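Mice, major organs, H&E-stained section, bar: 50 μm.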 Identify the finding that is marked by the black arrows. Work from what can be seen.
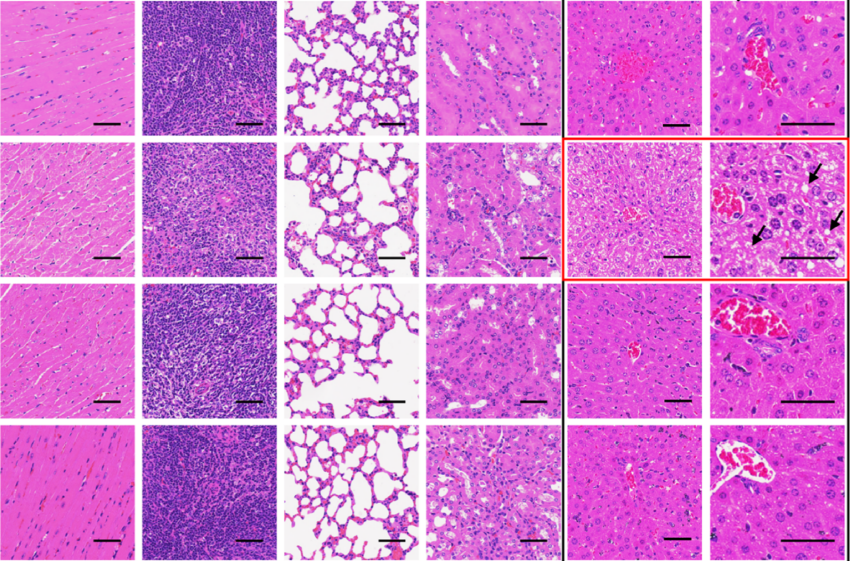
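Edematous and degenerated hepatocytes. The cytoplasm of the cells at the arrows is pale, cleared and vacuolated compared with the liver images in the other rows.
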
